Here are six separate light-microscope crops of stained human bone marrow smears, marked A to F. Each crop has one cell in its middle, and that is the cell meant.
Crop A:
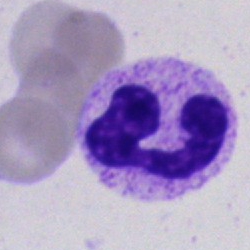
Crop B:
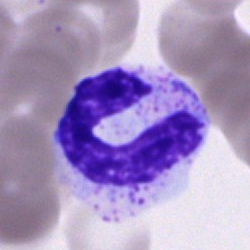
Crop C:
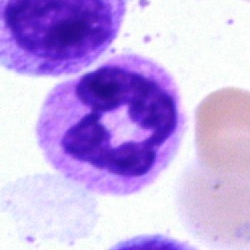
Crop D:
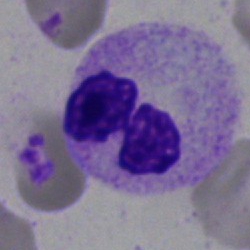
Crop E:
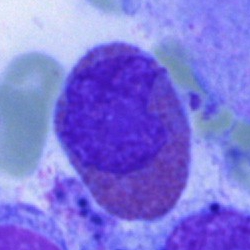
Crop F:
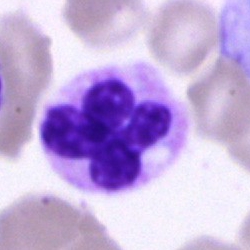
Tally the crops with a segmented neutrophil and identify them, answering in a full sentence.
It is segmented neutrophils that crops A, C, D and F show, four crops in all.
